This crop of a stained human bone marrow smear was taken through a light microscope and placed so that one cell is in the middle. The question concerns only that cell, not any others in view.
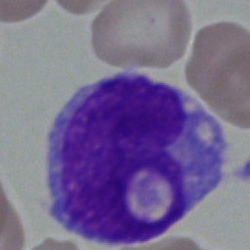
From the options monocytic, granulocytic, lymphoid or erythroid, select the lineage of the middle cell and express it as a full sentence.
The lineage represented by the central cell is monocytic.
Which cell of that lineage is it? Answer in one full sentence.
Standing at the centre of this crop is a monocyte.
